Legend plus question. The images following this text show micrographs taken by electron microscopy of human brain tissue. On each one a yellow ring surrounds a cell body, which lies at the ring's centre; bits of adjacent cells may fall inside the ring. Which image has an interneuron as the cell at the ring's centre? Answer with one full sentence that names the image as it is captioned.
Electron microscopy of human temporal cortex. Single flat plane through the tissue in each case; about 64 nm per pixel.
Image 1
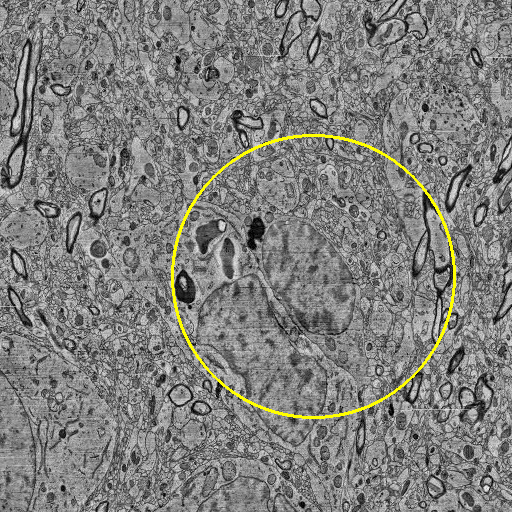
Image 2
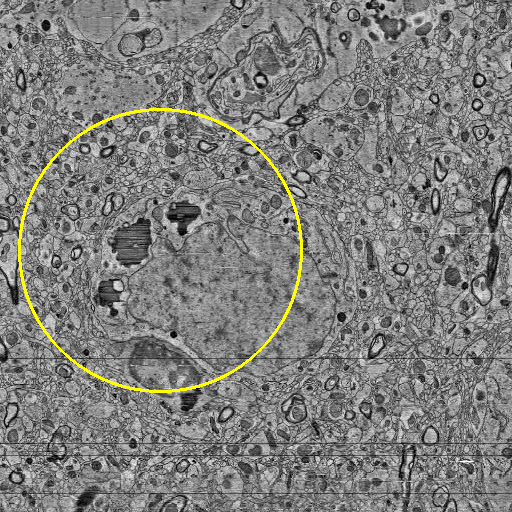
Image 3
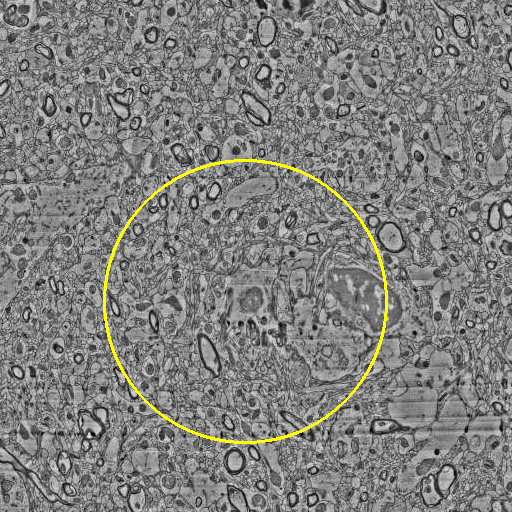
The centred cell that was asked for is the one in Image 2.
